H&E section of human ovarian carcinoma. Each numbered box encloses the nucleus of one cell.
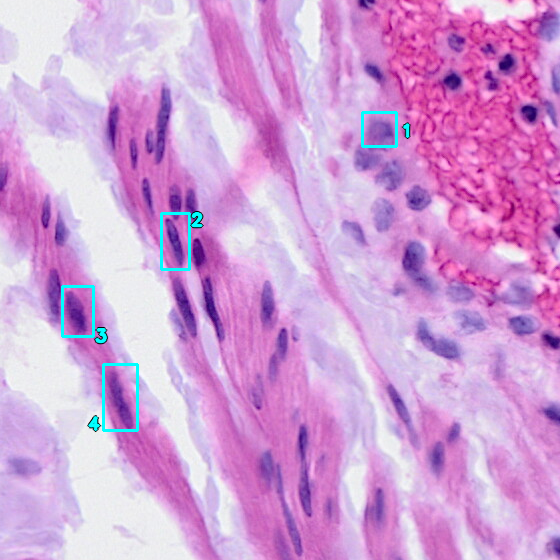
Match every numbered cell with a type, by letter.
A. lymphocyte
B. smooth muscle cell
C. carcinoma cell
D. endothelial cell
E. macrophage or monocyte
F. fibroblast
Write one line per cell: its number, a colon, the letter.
1: D
2: B
3: B
4: B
